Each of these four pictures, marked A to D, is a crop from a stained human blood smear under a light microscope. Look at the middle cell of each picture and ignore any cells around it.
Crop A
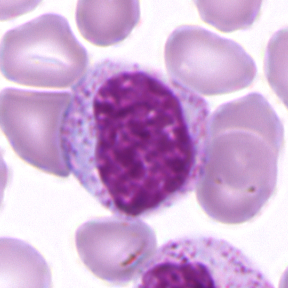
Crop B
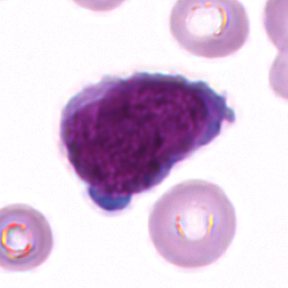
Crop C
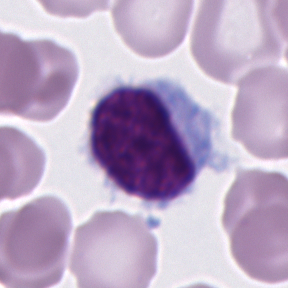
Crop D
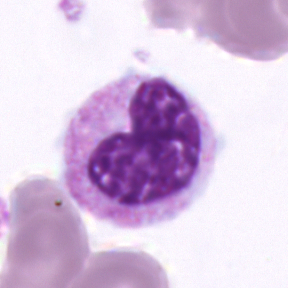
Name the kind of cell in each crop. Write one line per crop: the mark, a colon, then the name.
A: metamyelocyte
B: atypical promyelocyte
C: hairy cell
D: metamyelocyte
